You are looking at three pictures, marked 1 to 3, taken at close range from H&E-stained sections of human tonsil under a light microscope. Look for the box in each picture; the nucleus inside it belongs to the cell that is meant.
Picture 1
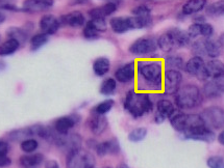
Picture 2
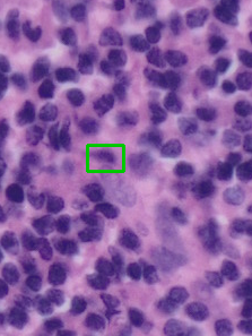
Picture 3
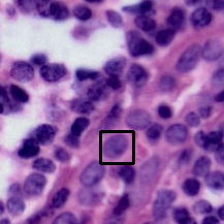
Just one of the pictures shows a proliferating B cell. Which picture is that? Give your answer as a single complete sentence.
The picture with the proliferating B cell is 1.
